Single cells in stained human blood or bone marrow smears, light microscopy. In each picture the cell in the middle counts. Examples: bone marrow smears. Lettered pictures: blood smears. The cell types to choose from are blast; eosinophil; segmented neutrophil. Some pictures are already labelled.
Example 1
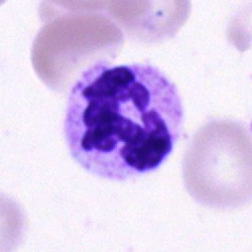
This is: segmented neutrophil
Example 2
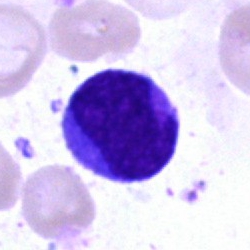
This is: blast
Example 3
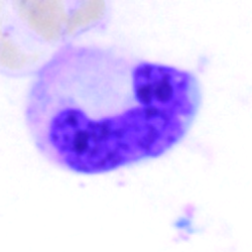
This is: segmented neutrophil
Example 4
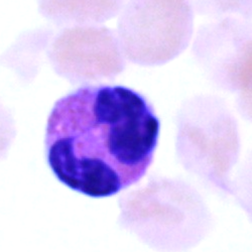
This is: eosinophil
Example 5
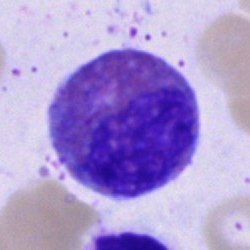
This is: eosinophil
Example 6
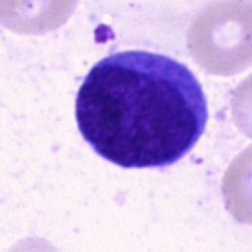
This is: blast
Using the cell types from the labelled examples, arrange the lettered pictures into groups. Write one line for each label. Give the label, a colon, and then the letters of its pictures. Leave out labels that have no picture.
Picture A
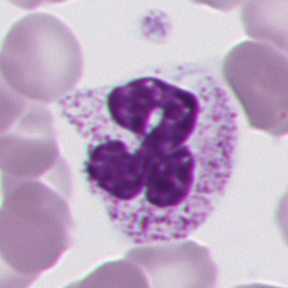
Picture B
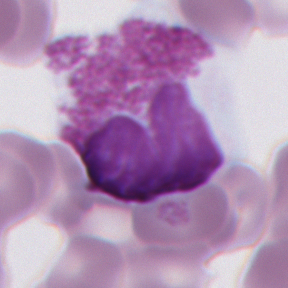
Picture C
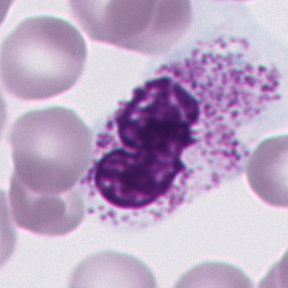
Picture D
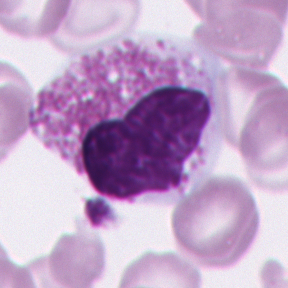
eosinophil: B, D
segmented neutrophil: A, C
